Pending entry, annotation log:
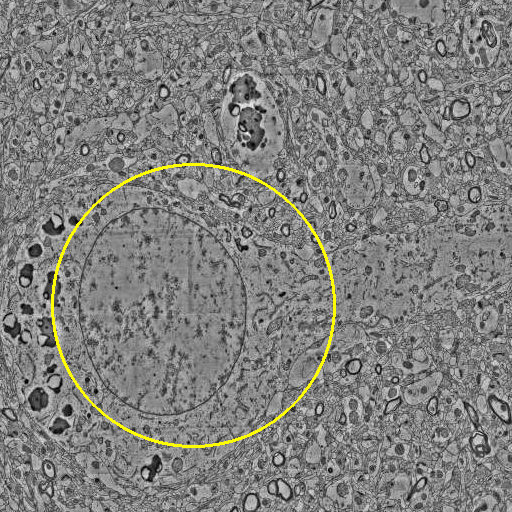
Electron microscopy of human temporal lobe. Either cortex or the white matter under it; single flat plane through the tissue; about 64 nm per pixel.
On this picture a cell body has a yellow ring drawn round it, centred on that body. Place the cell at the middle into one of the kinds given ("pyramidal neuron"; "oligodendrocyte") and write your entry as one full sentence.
The cell body at the middle of the yellow ring belongs to a pyramidal neuron.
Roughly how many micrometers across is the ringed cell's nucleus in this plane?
Roughly 14 by 12 micrometres in this plane, for the nucleus of the ringed cell.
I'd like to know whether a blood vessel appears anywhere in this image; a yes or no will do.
No, there is none.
